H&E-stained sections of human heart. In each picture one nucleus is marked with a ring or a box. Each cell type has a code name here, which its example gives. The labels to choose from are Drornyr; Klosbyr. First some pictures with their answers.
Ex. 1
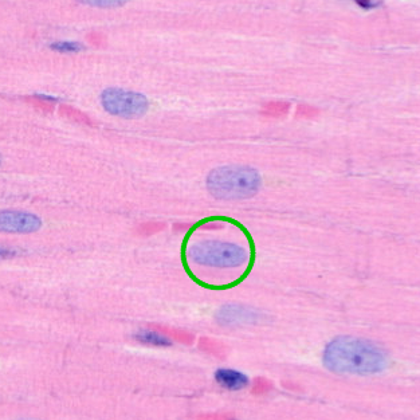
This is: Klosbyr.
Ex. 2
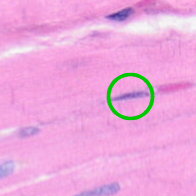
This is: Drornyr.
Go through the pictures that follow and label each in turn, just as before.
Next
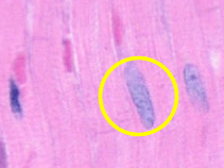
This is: Klosbyr.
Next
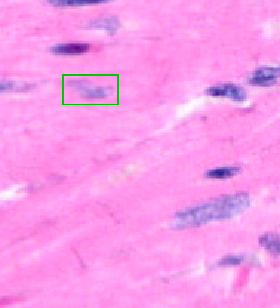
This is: Klosbyr.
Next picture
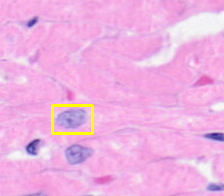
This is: Klosbyr.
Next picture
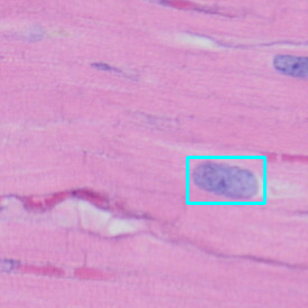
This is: Klosbyr.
